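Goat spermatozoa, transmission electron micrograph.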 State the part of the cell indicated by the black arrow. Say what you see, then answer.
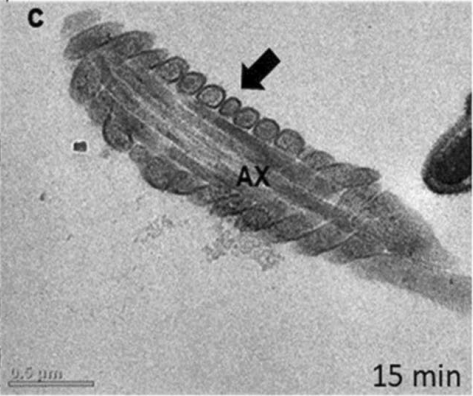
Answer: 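Organized mitochondria. The arrow points at a regular row of rounded profiles along the edge of the tail. The rounded profiles line both sides of central longitudinal fibres.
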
